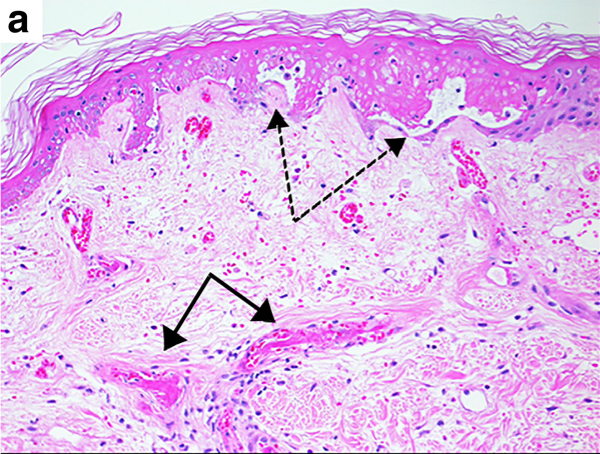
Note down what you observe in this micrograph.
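Skin with epidermis and upper dermis, the epidermis partly necrotic and elevated from the dermis. Keratinocytes in places are pale and eosinophilic, and clefts separate the epidermis from the papillary dermis. The dermis is oedematous and loose, with only sparse inflammatory cells and scattered red blood cells.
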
